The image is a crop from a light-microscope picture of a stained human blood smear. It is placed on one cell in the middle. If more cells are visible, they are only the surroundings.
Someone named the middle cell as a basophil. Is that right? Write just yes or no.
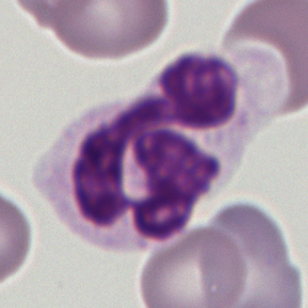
no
